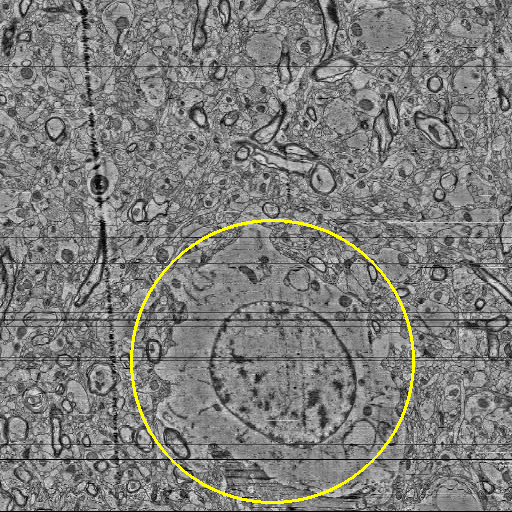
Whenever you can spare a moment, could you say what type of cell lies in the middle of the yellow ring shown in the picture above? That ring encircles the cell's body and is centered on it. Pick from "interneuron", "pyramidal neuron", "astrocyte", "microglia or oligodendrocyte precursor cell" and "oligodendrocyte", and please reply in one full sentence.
The cell whose body sits at the middle of the yellow ring is an astrocyte.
